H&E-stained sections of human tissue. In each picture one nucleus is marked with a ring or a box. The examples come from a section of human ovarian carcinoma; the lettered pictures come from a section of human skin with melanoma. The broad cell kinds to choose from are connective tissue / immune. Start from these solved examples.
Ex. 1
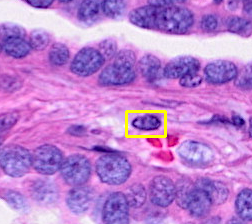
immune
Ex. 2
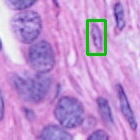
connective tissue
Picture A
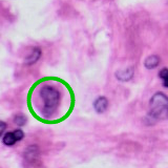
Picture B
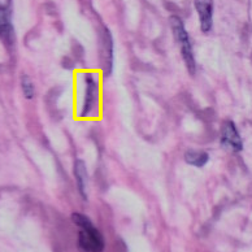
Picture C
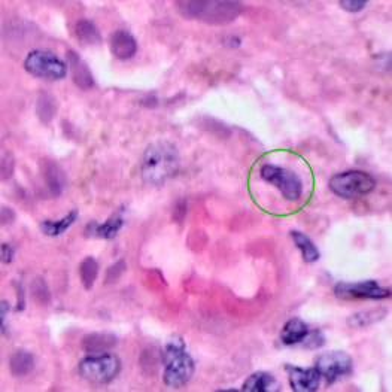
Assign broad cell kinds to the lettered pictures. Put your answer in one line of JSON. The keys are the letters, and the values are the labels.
{"A": "immune", "B": "connective tissue", "C": "immune"}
